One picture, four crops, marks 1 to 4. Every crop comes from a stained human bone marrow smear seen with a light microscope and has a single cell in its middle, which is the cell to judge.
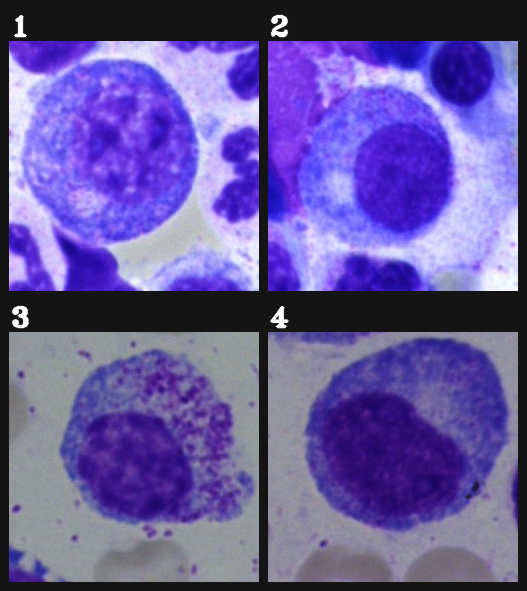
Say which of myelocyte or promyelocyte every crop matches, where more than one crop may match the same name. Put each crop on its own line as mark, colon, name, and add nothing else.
1: promyelocyte
2: promyelocyte
3: myelocyte
4: promyelocyte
